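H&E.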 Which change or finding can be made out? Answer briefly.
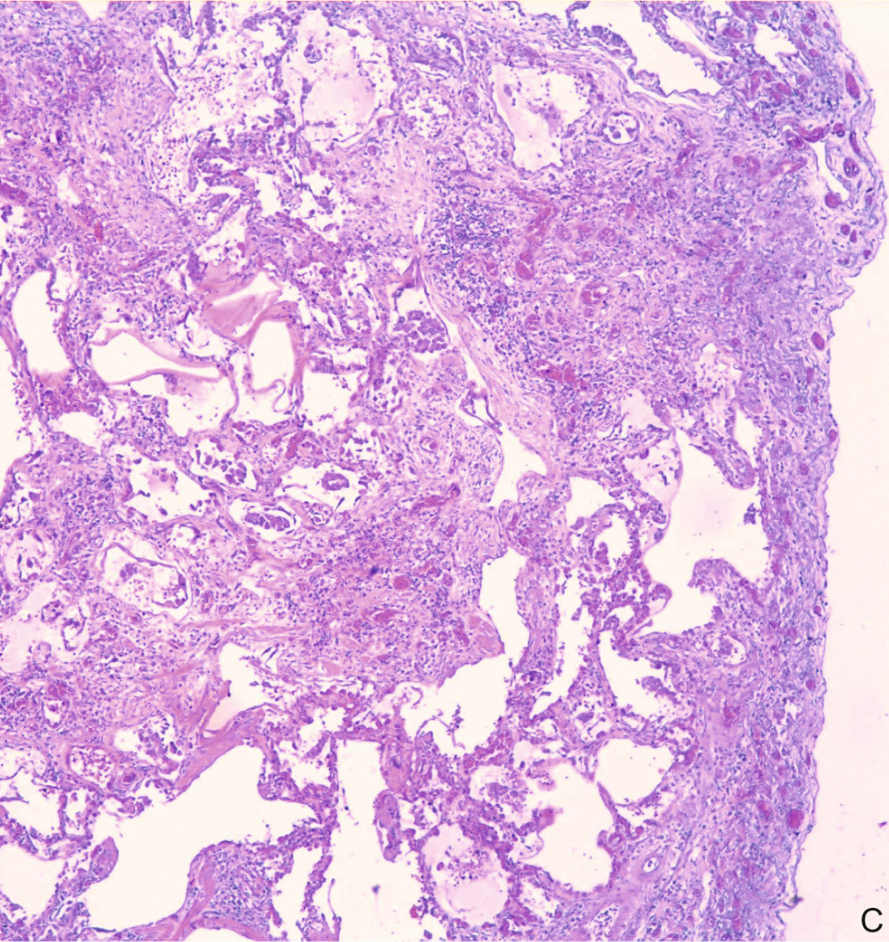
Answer: Honeycombing.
